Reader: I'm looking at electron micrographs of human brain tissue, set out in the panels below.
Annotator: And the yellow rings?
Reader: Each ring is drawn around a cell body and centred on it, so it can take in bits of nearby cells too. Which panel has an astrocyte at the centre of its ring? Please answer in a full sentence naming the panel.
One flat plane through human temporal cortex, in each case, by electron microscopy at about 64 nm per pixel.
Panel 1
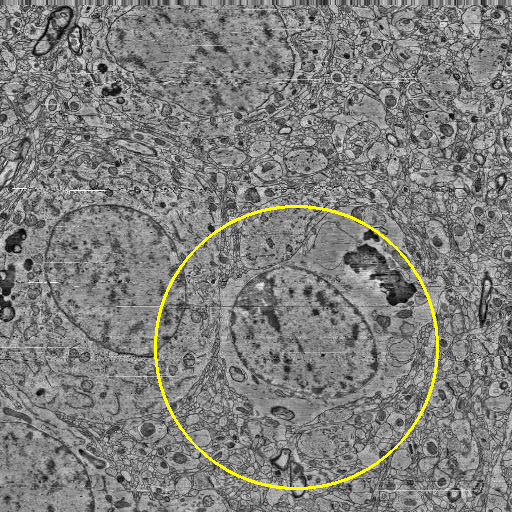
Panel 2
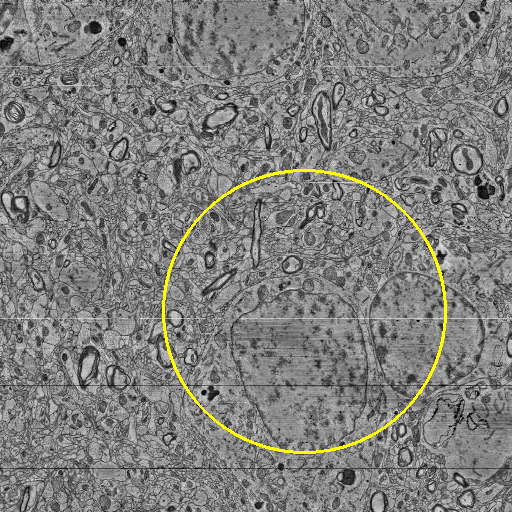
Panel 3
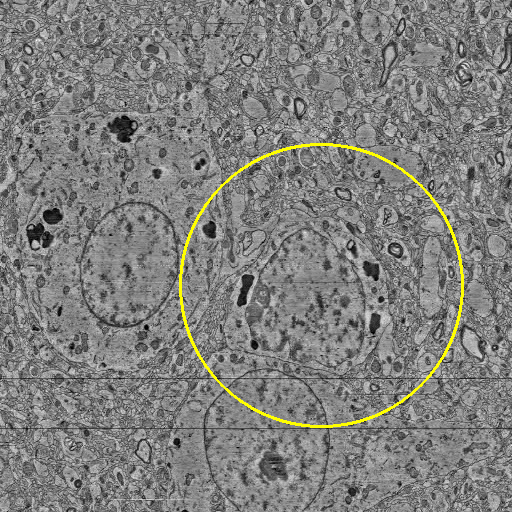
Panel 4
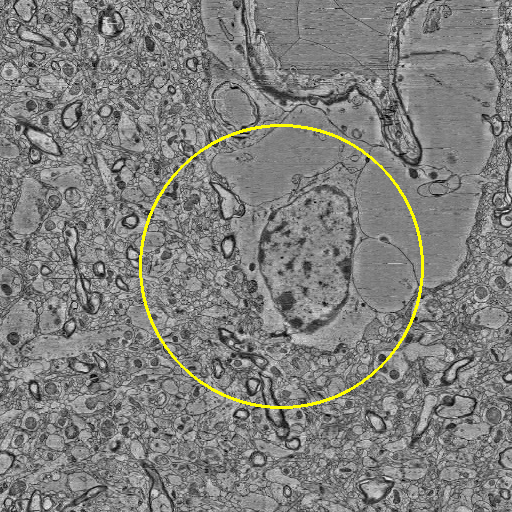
Panel 1 has it at the centre of its ring.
